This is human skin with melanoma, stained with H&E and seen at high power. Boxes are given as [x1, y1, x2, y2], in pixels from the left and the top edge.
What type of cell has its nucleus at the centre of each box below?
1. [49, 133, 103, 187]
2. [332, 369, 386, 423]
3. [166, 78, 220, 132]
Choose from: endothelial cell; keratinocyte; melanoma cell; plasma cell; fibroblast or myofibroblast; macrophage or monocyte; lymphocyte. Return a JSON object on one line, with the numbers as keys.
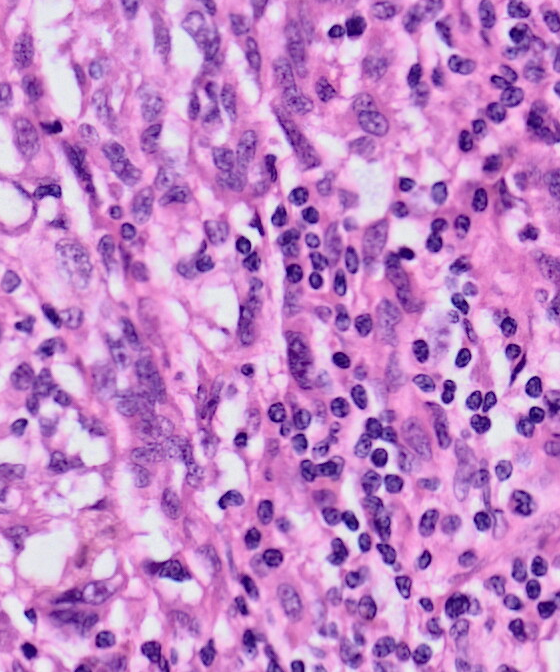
{"1": "melanoma cell", "2": "lymphocyte", "3": "melanoma cell"}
